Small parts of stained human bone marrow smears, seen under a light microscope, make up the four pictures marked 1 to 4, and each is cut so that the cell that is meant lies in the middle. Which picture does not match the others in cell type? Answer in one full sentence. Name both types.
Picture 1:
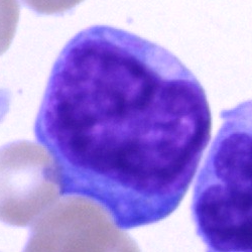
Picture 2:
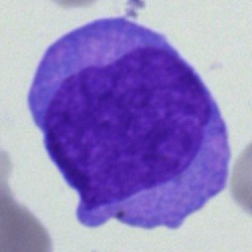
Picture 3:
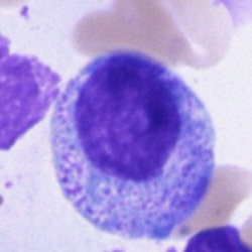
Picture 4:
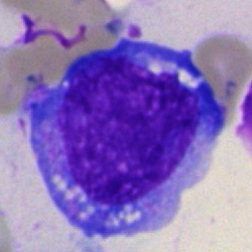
The different one is picture 3; it shows a promyelocyte, whereas all the others show blasts.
